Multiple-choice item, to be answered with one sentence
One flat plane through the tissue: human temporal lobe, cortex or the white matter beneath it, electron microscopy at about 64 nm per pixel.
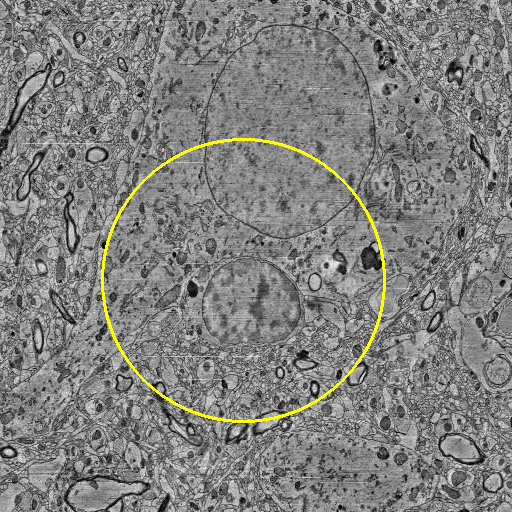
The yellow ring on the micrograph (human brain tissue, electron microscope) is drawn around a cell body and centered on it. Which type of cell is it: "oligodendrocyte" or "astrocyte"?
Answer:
The ring is centered on an oligodendrocyte.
